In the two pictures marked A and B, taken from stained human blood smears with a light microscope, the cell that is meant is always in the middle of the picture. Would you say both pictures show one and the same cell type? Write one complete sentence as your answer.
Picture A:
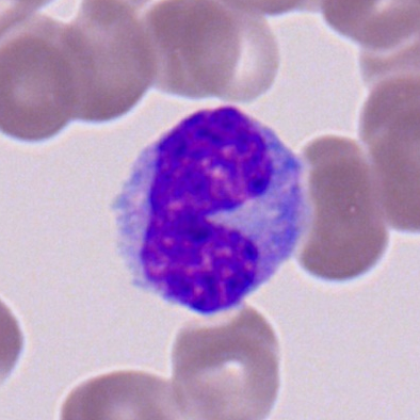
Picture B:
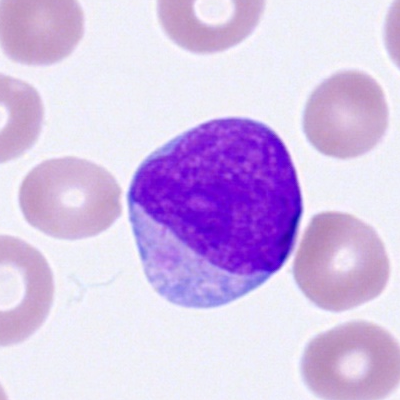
No; the cell in picture A is a monocyte, while the one in picture B is a myeloblast.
